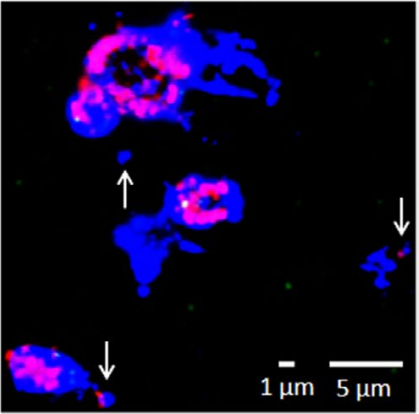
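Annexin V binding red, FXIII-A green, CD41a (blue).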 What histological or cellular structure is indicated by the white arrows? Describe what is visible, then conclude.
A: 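Microparticles. The arrows point to small blue fragments, some with a red dot. The fragments are much smaller than the large blue cells. They lie separate from or at the edge of the cells.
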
